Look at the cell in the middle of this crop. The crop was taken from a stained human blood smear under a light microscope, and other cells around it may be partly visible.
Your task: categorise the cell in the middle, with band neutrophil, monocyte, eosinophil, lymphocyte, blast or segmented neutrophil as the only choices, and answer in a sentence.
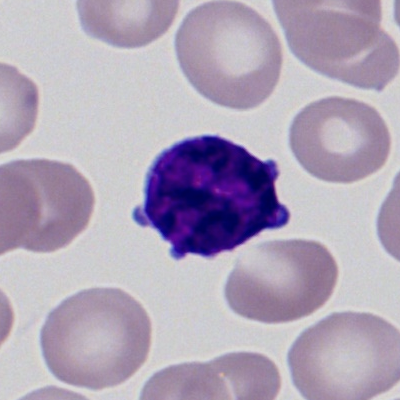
The cell at the middle of the crop is recognized as a lymphocyte.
